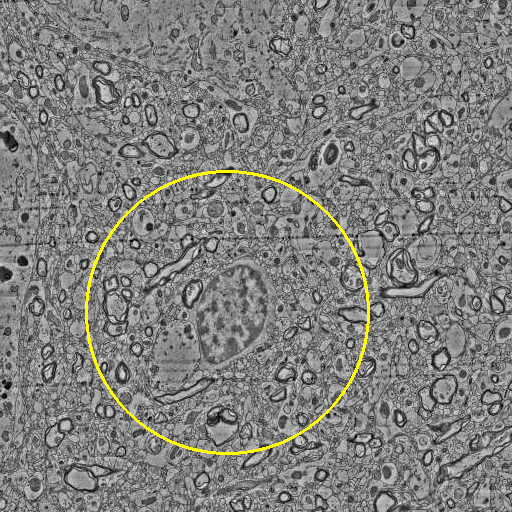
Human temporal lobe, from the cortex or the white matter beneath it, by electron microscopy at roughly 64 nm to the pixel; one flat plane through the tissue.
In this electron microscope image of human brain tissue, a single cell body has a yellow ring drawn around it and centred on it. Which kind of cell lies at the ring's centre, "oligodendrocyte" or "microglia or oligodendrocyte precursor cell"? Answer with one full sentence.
It is an oligodendrocyte whose cell body lies at the centre of the yellow ring here.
